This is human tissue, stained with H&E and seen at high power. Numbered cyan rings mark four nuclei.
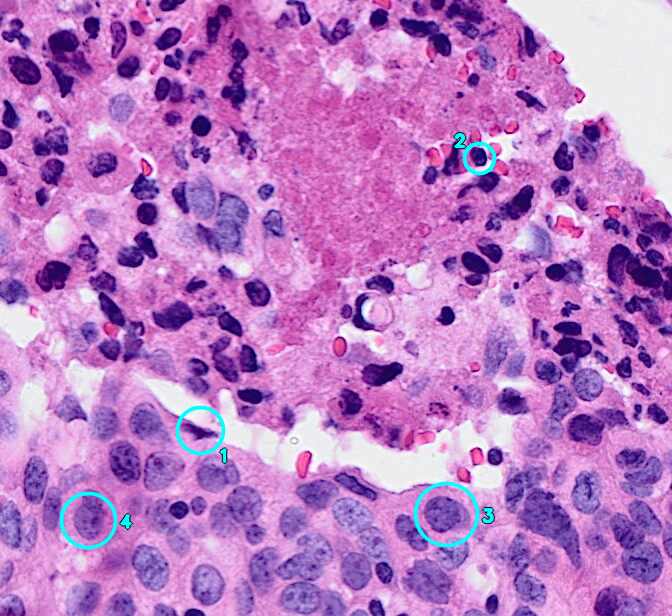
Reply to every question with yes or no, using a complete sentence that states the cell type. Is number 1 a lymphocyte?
No, the cell referred to as 1 is a carcinoma cell, not a lymphocyte.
